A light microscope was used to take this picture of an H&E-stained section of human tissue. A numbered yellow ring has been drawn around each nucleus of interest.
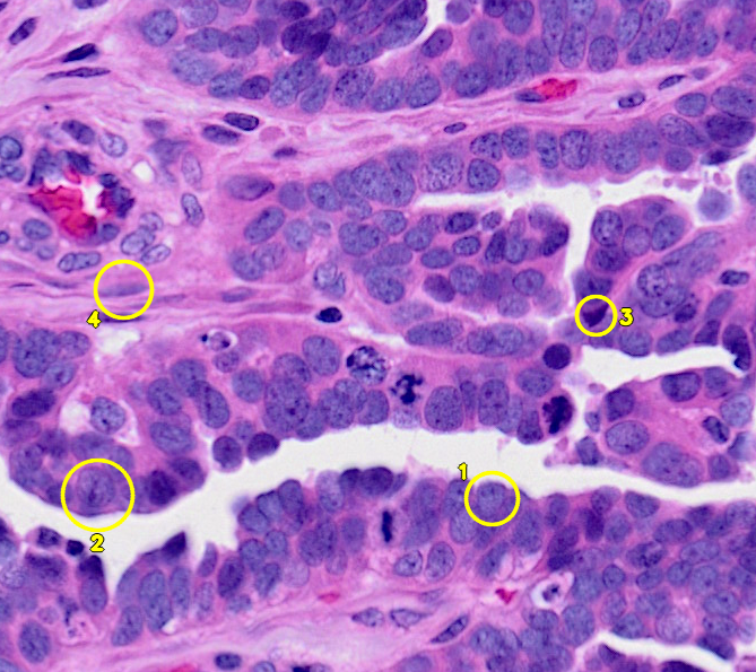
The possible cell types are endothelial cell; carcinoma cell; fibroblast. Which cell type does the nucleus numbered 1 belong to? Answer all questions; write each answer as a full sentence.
The cell given label 1 is a carcinoma cell.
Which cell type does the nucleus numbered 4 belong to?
The correct answer for cell 4 is a fibroblast.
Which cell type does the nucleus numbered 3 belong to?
Cell 3 should be recorded as a carcinoma cell.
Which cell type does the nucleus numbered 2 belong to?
The cell marked with the number 2 is a carcinoma cell.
